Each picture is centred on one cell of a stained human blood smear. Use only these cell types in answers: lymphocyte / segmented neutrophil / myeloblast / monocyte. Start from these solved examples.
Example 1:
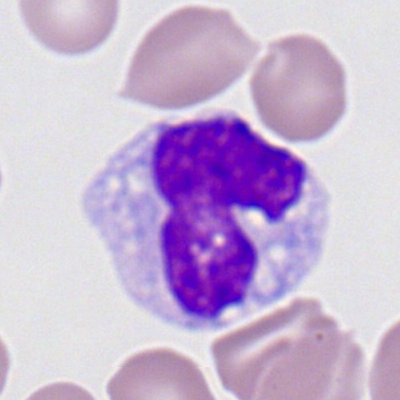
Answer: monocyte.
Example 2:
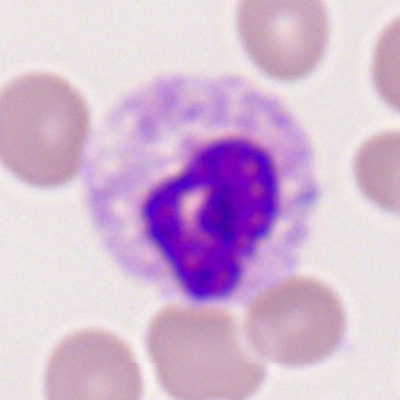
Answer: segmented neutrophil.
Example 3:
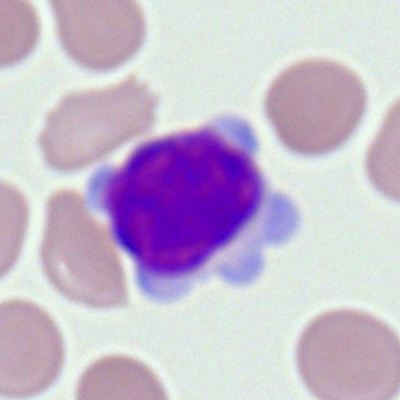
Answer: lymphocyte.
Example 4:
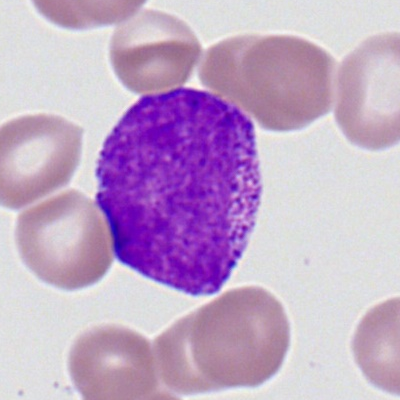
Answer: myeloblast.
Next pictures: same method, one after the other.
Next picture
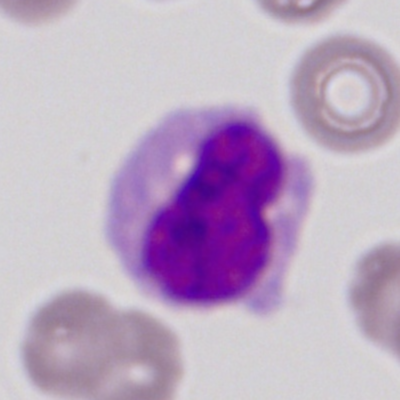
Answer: monocyte.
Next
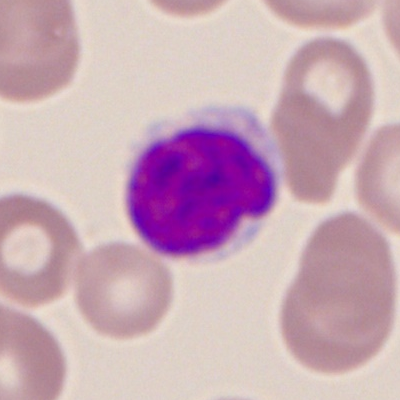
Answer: lymphocyte.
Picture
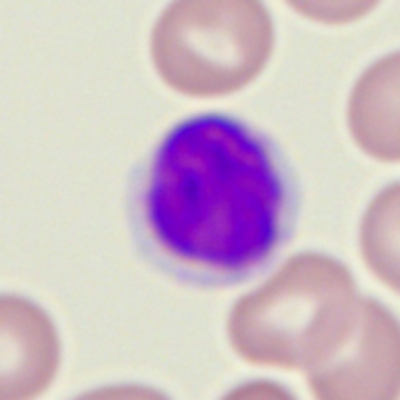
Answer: lymphocyte.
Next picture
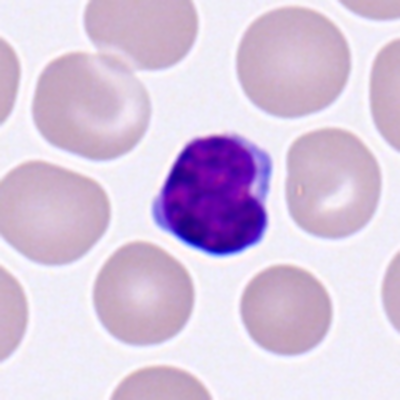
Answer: lymphocyte.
